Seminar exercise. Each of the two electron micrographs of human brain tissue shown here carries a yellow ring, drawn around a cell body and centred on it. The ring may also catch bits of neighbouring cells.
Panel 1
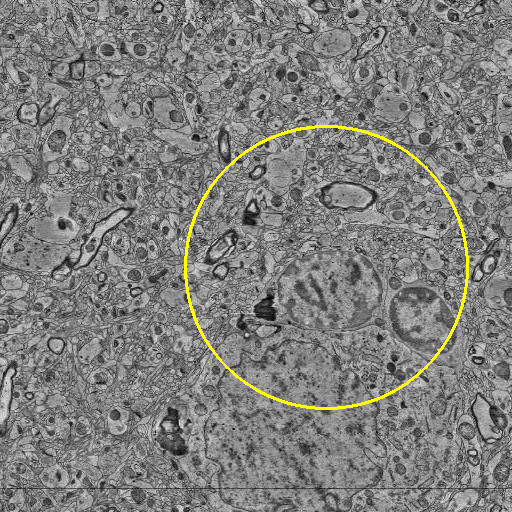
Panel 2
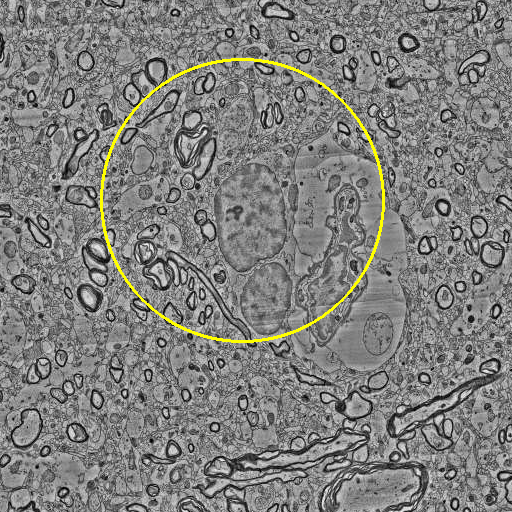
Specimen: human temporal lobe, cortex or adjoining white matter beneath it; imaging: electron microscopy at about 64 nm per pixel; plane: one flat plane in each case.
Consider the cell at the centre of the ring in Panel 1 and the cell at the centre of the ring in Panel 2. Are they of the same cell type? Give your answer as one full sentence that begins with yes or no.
Yes, both cells are of the same type.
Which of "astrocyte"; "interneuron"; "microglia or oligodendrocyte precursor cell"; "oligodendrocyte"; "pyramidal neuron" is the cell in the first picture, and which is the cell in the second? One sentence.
Both cells are the same kind, each one being an oligodendrocyte.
